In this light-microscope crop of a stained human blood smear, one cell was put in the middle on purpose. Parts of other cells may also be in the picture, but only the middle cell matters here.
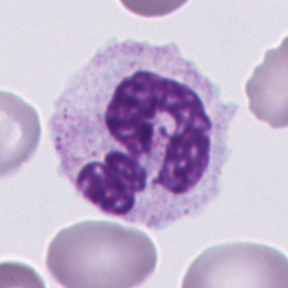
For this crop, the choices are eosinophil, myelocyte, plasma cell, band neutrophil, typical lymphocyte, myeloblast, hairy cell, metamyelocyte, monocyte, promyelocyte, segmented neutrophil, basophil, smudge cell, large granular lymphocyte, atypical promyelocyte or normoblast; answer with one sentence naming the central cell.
The target cell in the middle of the crop is a segmented neutrophil.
